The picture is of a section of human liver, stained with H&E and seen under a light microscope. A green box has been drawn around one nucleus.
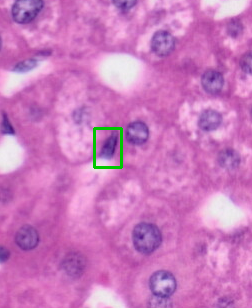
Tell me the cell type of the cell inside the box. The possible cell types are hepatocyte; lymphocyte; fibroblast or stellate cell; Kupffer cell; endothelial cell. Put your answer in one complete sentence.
The classification of the cell inside the box is as a fibroblast or stellate cell.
